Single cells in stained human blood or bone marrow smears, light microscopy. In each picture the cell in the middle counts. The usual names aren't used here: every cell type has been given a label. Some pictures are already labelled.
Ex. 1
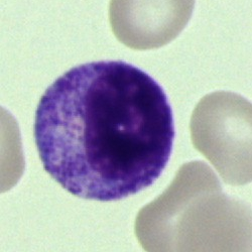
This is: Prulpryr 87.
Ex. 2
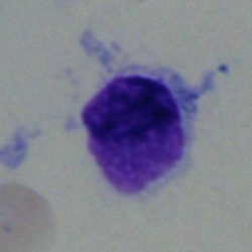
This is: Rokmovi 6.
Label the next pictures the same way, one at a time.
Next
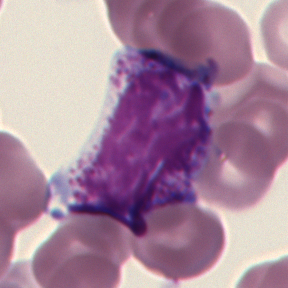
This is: Prulpryr 87.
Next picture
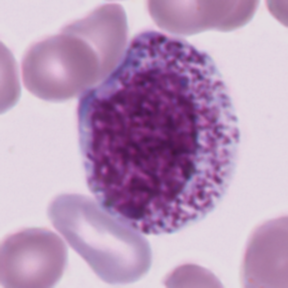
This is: Prulpryr 87.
